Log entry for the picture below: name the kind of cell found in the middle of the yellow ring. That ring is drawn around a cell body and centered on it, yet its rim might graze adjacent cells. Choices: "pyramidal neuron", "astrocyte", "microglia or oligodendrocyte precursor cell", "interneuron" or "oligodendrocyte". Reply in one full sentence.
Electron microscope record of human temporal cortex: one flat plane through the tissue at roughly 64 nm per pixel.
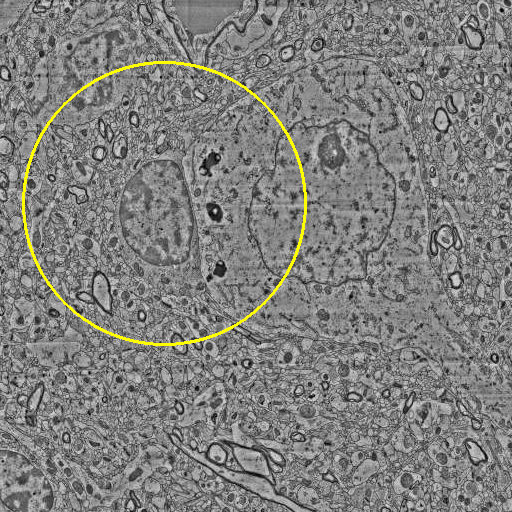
The cell in the middle of the yellow ring in this picture is an oligodendrocyte.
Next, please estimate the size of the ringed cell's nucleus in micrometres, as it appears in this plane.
Roughly 7 by 5 micrometres in this plane, for the nucleus of the ringed cell.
